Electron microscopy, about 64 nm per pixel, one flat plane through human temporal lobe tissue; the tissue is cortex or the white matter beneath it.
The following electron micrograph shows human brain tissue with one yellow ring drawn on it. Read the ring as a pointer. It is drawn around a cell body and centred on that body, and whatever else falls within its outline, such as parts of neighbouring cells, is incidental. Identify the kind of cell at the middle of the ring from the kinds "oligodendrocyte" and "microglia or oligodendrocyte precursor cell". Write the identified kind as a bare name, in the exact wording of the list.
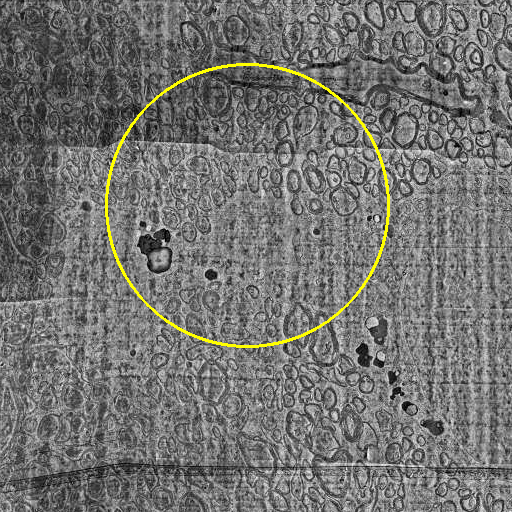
oligodendrocyte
